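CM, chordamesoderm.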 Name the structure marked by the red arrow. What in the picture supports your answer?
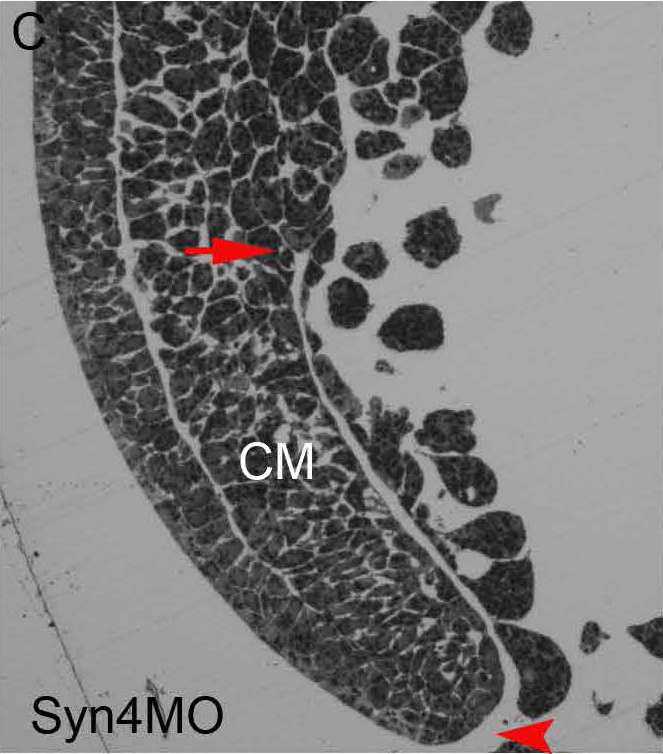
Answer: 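The arrow points at the upper end of a pale cleft between the cell mass and loose cells on the right. That points to this answer: tip of archenteron.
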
